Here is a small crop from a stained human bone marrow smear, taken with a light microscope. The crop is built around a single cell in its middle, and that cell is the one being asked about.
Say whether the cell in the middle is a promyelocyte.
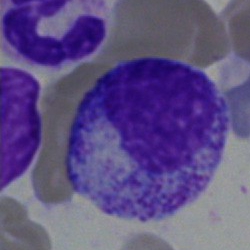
no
